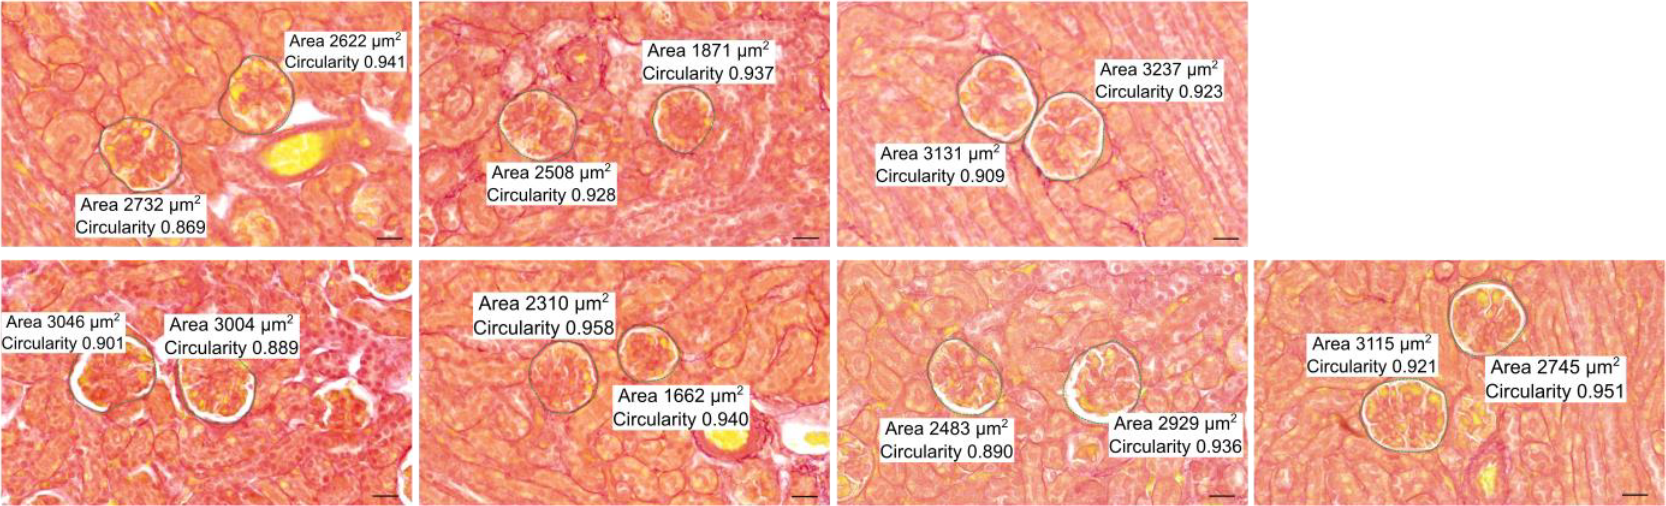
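These are sections of kidney in which rounded glomeruli lie scattered among densely packed renal tubules, all stained in shades of red and orange with some yellow. Each glomerulus is a compact, nearly circular lobulated tuft with a scatter of nuclei and small yellow-orange areas, surrounded by a thin pale space and a fine capsule, and is traced by a thin outline. Around them, tubules cut in cross and oblique section form rings of cuboidal cells with small lumina. In places the tubules run in long parallel bundles. Scattered bright yellow patches mark vessels or interstitial spaces between tubules.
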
